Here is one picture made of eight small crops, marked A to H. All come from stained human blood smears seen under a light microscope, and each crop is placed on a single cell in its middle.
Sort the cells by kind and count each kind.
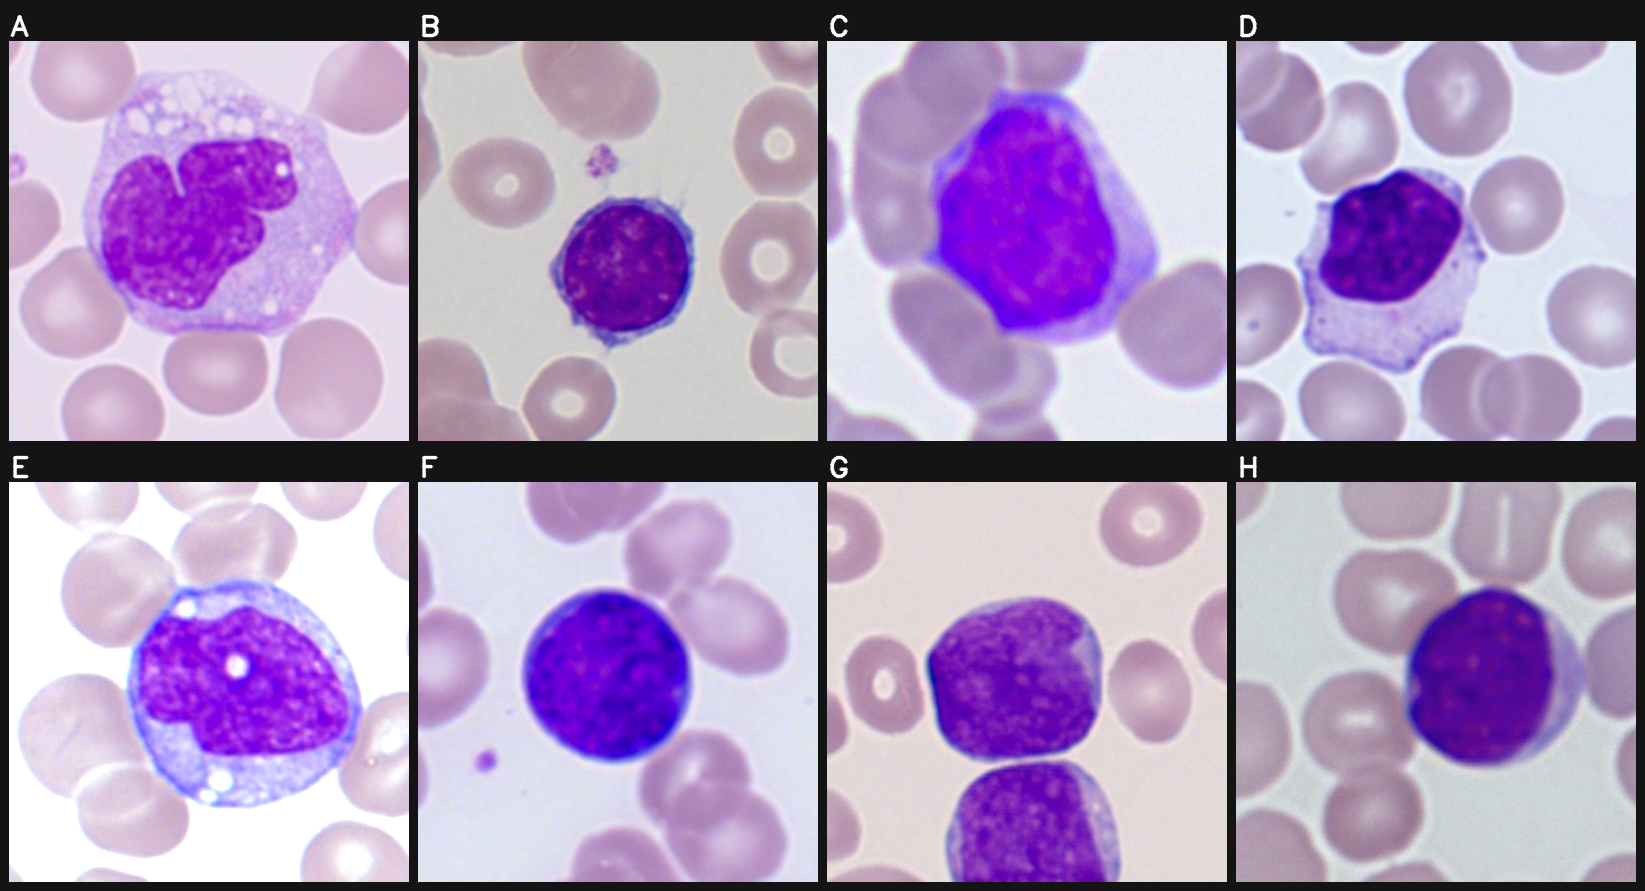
myeloblast: 4
monocyte: 2
lymphocyte: 2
